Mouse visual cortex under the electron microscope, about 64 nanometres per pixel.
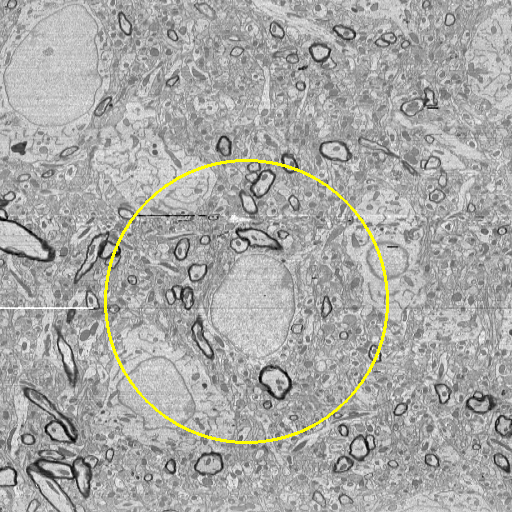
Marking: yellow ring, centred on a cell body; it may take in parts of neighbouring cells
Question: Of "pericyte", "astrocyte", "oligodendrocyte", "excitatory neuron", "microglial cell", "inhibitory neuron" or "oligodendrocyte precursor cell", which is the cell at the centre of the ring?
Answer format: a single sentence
The ring surrounds the body of an astrocyte.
